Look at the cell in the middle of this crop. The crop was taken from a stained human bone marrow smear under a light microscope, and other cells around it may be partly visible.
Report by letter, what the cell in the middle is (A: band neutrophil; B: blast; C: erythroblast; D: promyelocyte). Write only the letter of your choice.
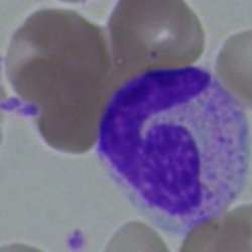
A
